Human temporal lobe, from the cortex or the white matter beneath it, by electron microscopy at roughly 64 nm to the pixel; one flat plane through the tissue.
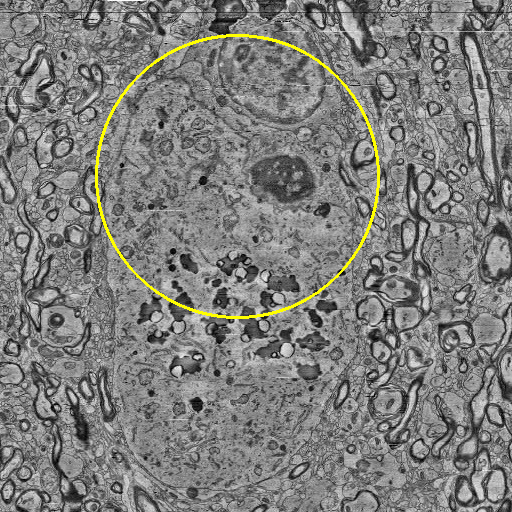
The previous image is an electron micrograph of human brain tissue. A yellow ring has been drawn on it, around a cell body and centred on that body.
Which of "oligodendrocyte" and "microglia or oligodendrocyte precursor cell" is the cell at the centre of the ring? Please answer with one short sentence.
The cell body at the centre of the ring belongs to a microglial cell or oligodendrocyte precursor cell.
